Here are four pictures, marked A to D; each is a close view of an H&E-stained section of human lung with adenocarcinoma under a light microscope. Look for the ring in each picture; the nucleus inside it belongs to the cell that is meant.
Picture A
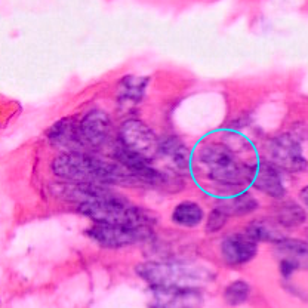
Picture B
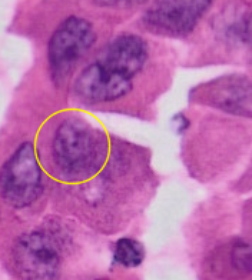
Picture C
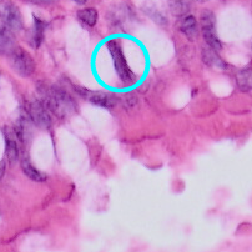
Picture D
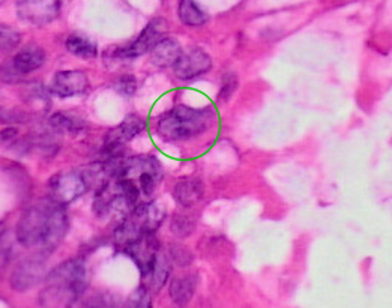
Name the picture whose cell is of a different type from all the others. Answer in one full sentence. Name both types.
Picture B differs, because its cell is a carcinoma cell and the rest are ciliated epithelial cells.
